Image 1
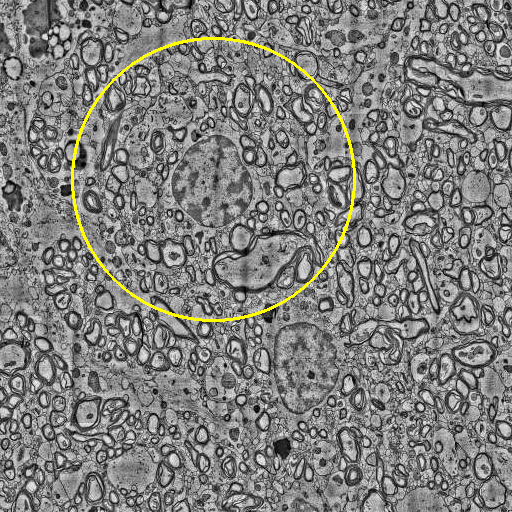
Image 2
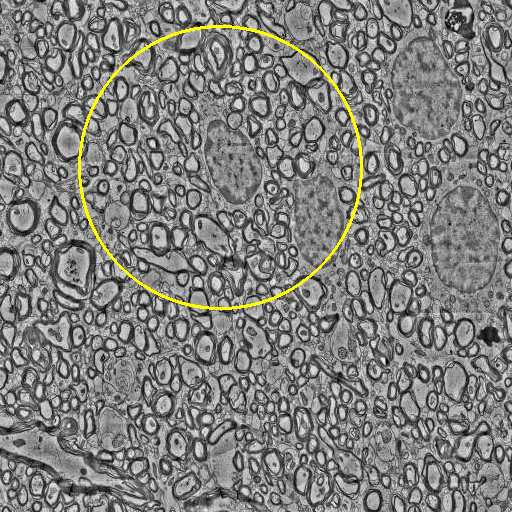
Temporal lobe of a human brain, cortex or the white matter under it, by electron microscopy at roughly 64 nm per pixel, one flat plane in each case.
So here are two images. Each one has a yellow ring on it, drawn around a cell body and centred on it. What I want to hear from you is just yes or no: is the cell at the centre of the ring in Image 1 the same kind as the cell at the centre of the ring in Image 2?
yes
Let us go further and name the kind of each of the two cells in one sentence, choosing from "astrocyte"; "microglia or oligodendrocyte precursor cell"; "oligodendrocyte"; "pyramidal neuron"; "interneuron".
Each cell, in the first picture and the second, is a microglial cell or oligodendrocyte precursor cell.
